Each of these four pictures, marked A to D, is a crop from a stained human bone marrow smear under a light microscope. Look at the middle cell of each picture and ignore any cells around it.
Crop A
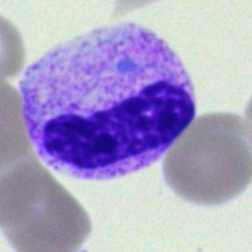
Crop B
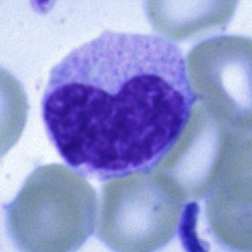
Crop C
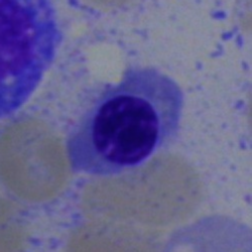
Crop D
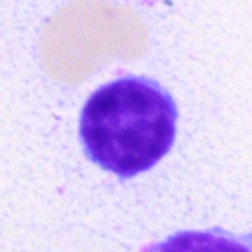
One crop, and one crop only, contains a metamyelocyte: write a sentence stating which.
Crop B is where a metamyelocyte is shown.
